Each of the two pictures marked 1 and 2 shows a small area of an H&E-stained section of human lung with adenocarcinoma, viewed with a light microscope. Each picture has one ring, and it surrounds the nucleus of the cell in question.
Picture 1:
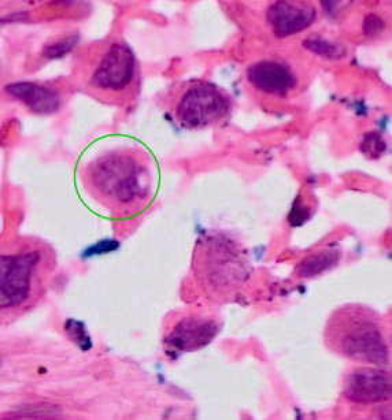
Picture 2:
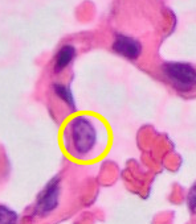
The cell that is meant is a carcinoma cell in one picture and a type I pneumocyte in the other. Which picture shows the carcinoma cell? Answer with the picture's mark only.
1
